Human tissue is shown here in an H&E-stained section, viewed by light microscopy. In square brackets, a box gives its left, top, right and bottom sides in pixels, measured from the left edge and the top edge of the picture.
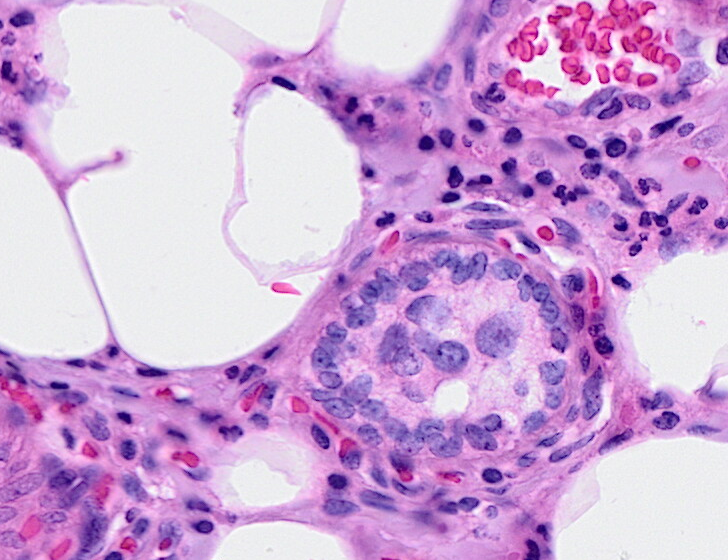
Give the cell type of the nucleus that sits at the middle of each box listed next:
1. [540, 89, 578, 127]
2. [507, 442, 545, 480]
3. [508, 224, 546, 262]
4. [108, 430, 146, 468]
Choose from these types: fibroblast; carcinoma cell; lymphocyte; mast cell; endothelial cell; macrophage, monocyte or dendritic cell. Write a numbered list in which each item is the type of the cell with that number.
1. endothelial cell
2. endothelial cell
3. endothelial cell
4. mast cell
